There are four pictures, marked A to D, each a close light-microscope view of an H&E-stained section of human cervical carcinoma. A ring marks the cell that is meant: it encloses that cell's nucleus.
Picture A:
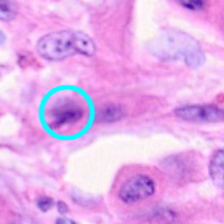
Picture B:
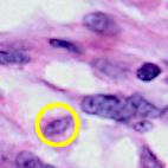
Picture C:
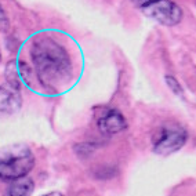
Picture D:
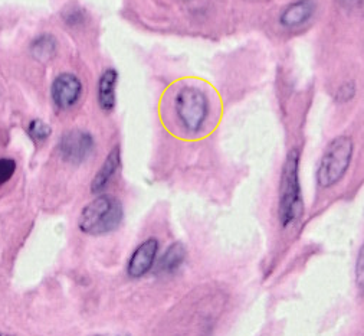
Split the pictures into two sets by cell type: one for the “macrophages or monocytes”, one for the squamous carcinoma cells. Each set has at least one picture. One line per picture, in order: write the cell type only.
macrophage or monocyte
macrophage or monocyte
squamous carcinoma cell
squamous carcinoma cell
